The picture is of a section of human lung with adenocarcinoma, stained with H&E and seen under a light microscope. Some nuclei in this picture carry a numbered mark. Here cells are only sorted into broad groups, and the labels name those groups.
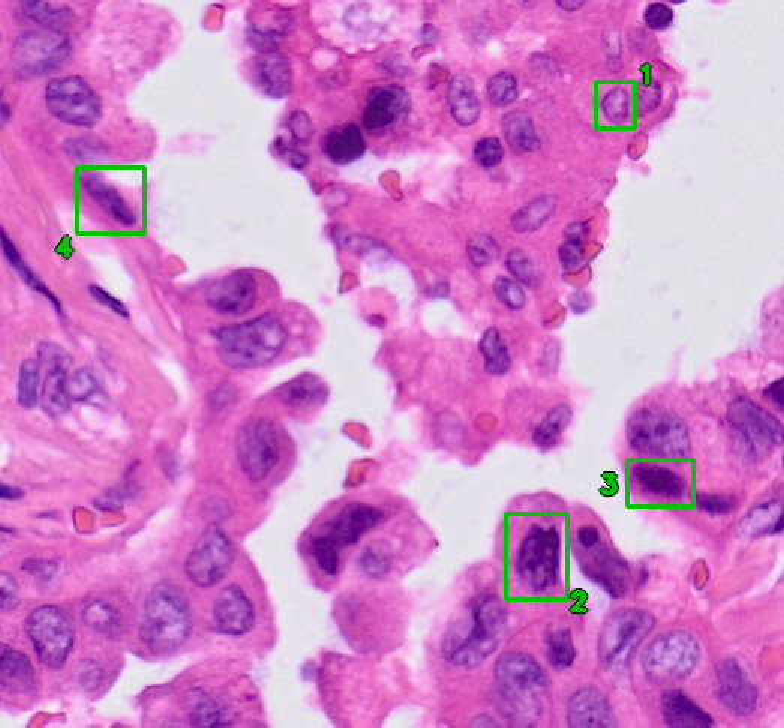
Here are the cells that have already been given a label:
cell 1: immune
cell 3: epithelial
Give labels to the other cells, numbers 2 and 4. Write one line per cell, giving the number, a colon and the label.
2: epithelial
4: epithelial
